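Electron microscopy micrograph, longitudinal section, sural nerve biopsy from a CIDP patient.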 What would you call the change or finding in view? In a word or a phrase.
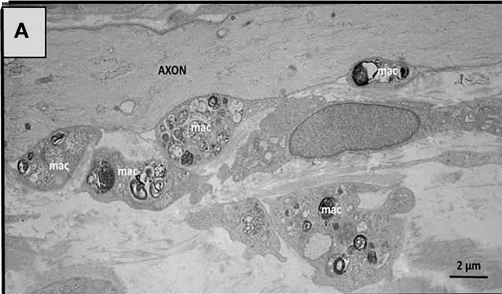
Completely devoid of myelin.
